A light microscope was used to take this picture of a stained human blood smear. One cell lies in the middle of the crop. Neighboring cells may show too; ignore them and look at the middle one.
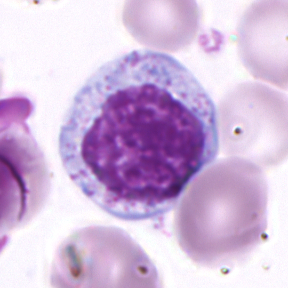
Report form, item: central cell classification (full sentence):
Answering briefly, the cell in the middle is a myelocyte.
